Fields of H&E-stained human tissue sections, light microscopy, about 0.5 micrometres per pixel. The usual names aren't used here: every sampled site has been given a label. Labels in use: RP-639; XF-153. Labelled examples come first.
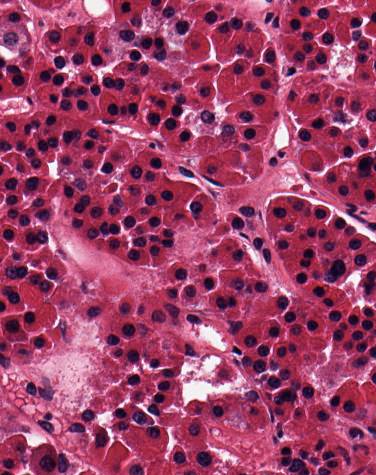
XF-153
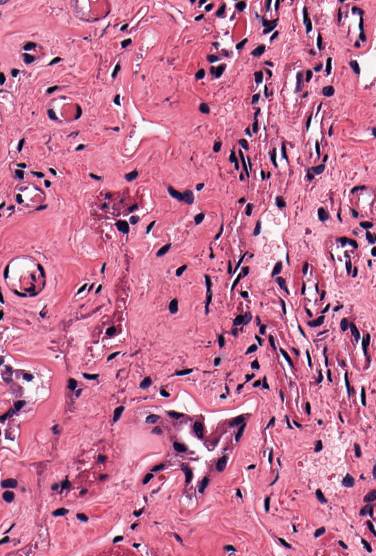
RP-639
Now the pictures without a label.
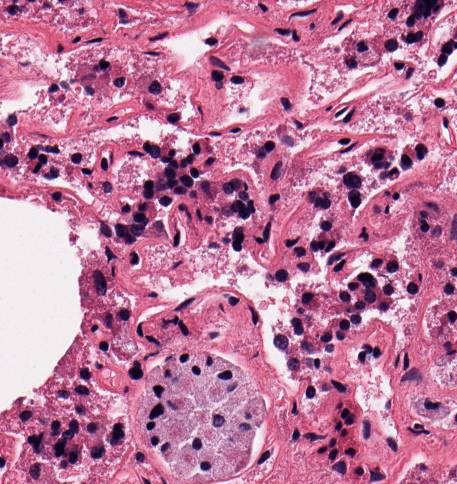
XF-153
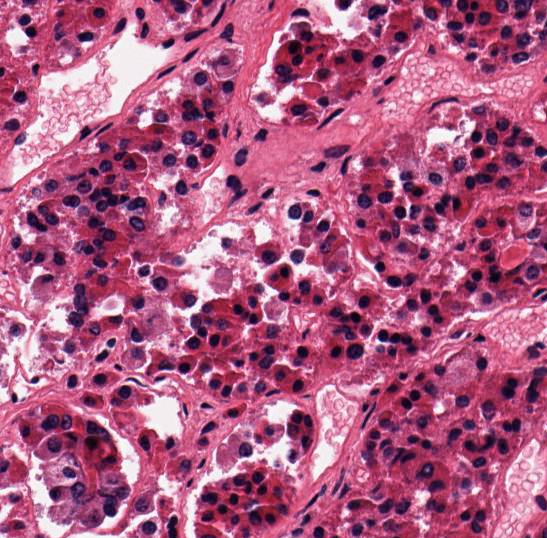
XF-153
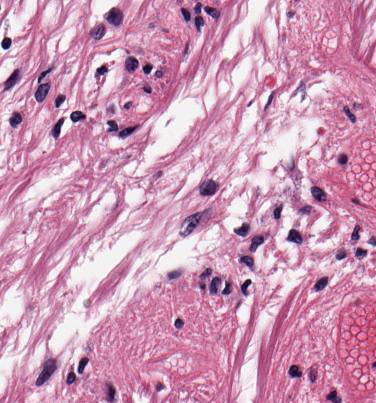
XF-153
